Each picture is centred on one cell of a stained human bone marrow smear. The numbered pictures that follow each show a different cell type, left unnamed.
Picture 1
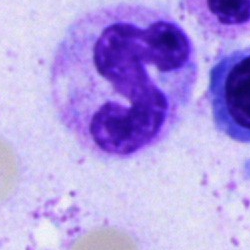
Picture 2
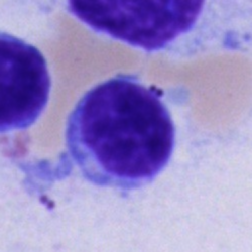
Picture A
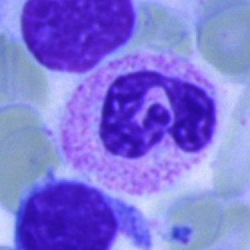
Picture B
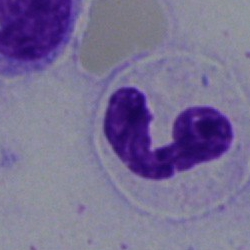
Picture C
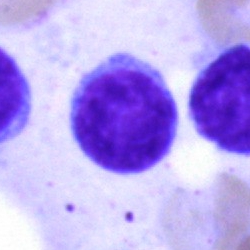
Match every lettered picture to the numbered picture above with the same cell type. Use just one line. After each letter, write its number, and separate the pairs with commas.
A 1, B 1, C 2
